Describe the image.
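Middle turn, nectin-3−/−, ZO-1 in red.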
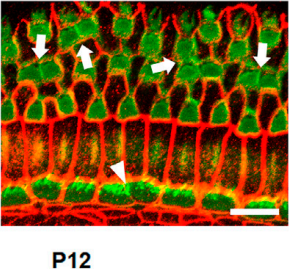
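Surface view of the organ of Corti in which the outer hair cells in the upper rows are irregularly arranged, with several hair cells directly attached to one another instead of being separated by supporting cells. White arrows point to junctions shared between adjacent outer hair cells, and a white arrowhead marks a junction where two inner hair cells in the bottom row meet. Elongated supporting cell surfaces still separate the outer from the inner hair cell region.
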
